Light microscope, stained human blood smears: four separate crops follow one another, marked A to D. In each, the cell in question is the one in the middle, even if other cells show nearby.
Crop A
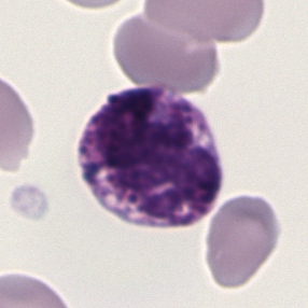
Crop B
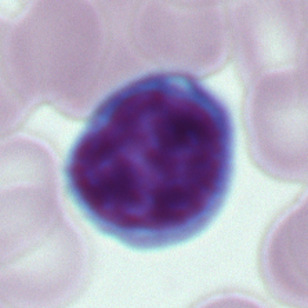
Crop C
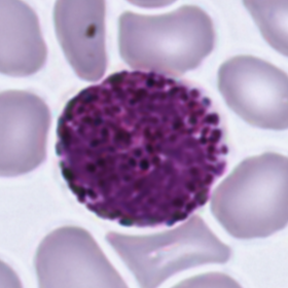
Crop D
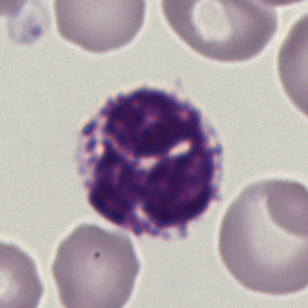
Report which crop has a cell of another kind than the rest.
B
